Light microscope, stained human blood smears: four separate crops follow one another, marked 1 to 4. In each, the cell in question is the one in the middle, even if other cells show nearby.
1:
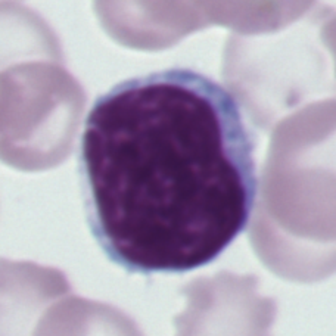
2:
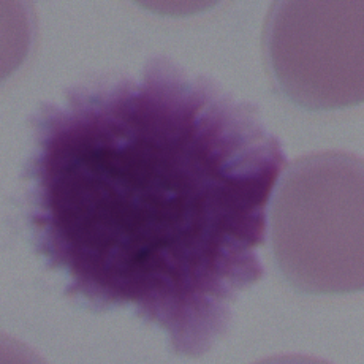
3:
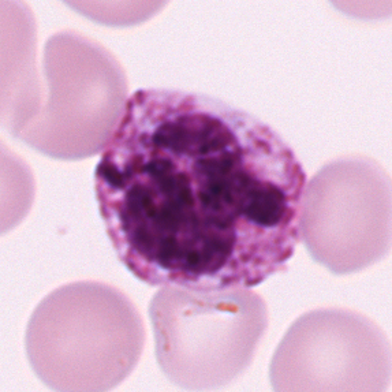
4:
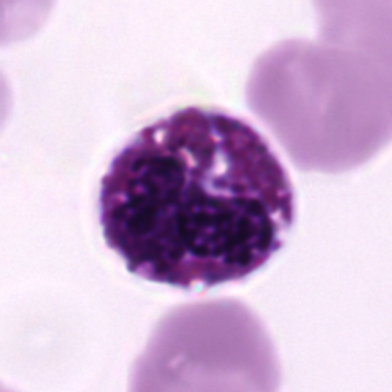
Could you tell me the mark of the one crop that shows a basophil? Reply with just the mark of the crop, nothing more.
3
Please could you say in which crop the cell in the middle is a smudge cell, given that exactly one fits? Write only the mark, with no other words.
2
